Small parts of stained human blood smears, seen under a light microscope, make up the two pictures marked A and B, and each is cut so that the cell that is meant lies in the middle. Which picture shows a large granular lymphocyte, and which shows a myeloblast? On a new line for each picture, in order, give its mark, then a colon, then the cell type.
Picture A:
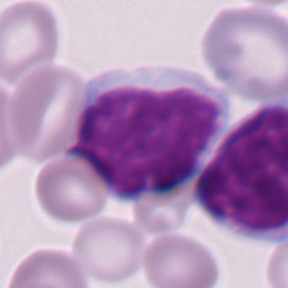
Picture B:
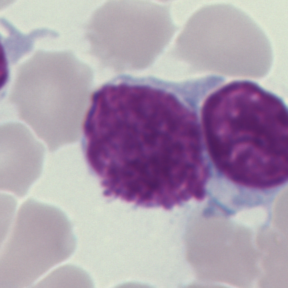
A: large granular lymphocyte
B: myeloblast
